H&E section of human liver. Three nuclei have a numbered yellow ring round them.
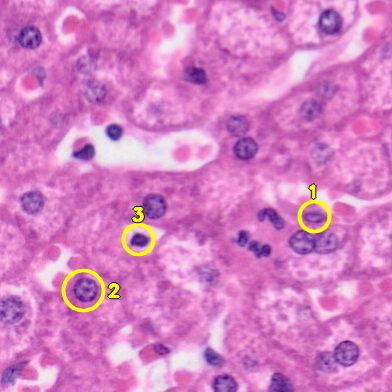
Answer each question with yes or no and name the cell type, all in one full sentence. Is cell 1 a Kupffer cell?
Yes, in the section, number 1 is a Kupffer cell.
